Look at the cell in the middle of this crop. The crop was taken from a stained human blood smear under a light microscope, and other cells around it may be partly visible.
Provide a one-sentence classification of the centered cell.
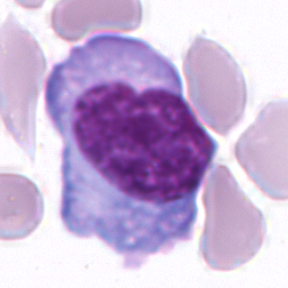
The centered cell in this crop is a plasma cell.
